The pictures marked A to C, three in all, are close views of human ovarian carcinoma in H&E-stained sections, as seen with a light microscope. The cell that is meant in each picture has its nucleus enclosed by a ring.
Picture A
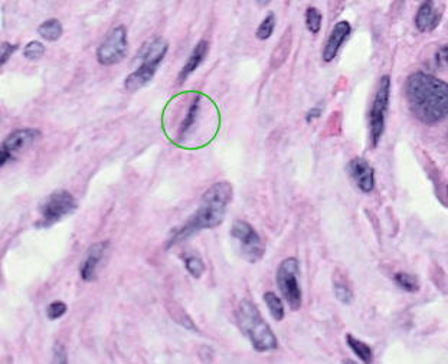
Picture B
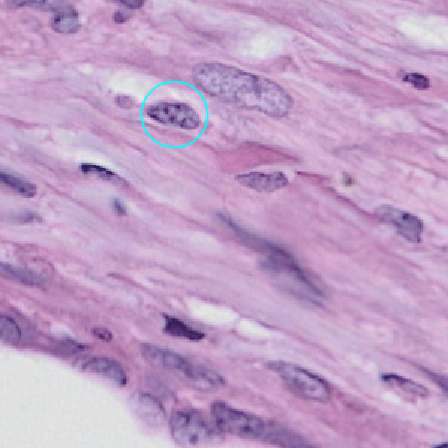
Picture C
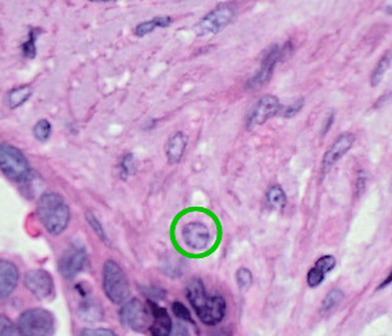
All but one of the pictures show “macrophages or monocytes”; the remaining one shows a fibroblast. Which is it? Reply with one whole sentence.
Picture A shows the fibroblast.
